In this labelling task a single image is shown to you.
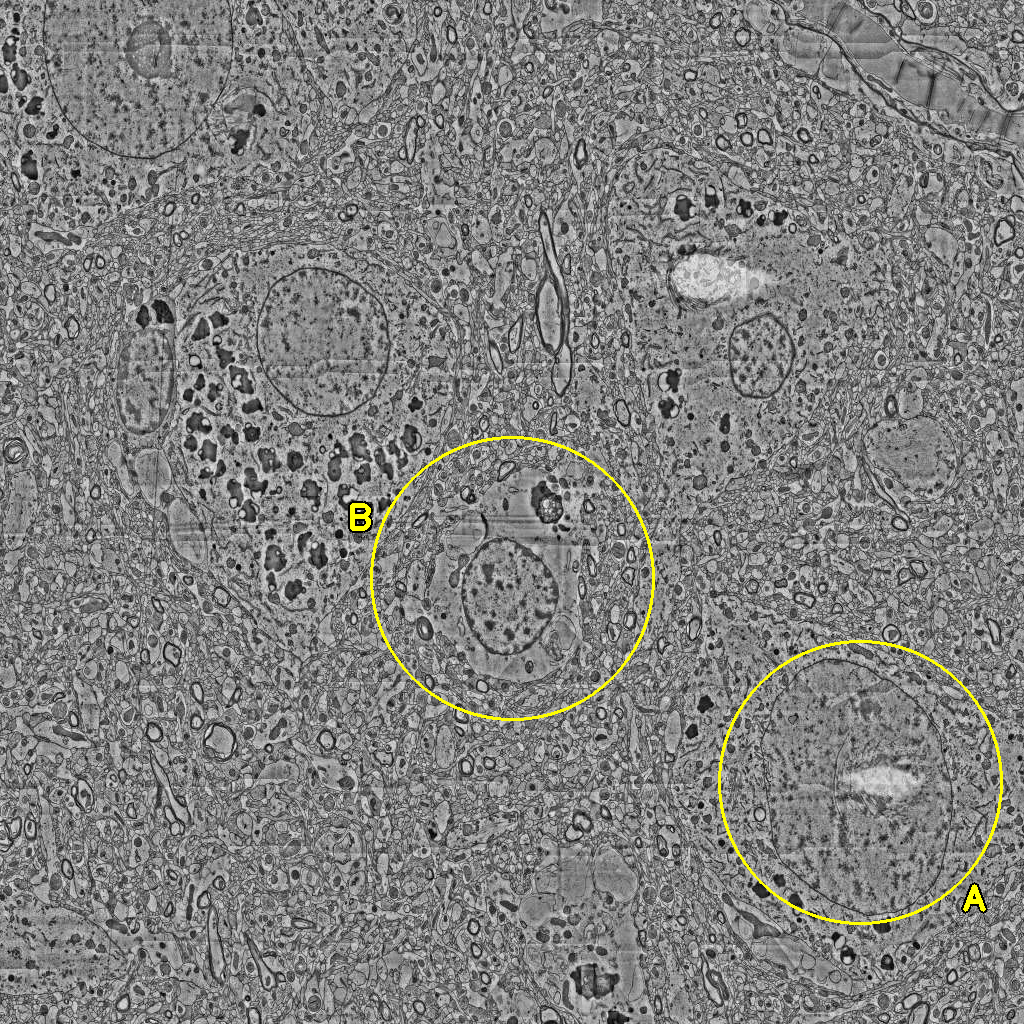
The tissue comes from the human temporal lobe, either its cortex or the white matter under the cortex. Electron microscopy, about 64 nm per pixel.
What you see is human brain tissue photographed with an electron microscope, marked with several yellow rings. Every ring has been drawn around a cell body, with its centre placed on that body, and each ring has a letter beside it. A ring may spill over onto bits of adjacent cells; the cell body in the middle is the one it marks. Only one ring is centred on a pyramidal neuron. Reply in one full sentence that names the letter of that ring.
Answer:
The ring centred on the cell asked for is the one marked A.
